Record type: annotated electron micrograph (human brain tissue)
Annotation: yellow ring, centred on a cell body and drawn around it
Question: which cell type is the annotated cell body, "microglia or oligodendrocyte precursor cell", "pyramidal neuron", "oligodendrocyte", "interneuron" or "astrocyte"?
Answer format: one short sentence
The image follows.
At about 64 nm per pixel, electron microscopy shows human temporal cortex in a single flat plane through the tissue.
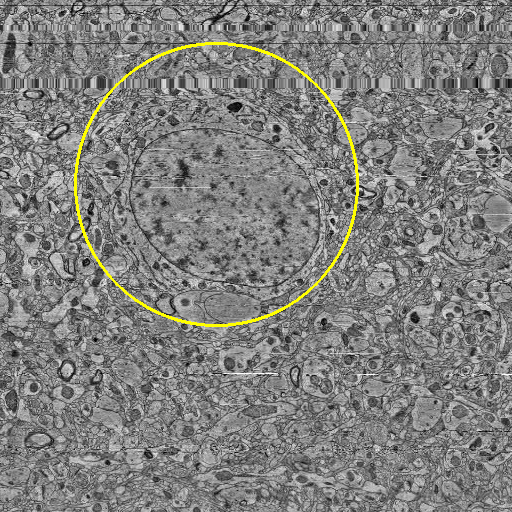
The annotated cell body is that of a pyramidal neuron.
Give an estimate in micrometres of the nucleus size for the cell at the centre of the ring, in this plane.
The nucleus measures about 13 by 11 micrometres in this plane.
